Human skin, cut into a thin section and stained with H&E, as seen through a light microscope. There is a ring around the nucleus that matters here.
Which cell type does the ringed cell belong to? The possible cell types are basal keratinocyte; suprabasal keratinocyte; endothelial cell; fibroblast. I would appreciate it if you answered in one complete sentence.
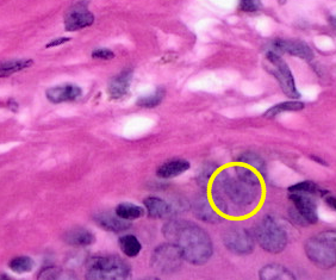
For the purposes of cell typing, the ringed cell is categorized as a basal keratinocyte.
